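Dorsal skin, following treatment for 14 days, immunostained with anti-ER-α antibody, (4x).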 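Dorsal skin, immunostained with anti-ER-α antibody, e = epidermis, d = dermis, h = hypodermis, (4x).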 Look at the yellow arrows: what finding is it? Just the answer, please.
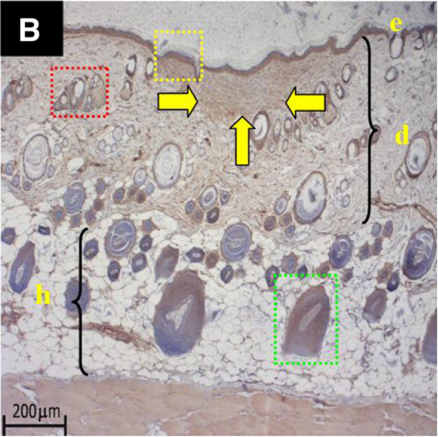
wound areas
